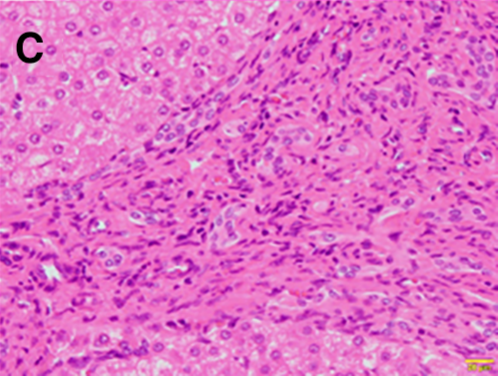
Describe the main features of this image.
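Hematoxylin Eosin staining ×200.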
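This is liver tissue with hepatocytes at the edges and a broad band of cellular connective tissue across the middle. The hepatocytes are large polygonal cells with pale pink cytoplasm and round central nuclei. In the middle band the stroma is crowded with small dark, often elongated nuclei. Within it lie small cords and tubule-like clusters of cells with dark nuclei, together with scattered inflammatory cells. The band breaks up the normal orderly plates of hepatocytes.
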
